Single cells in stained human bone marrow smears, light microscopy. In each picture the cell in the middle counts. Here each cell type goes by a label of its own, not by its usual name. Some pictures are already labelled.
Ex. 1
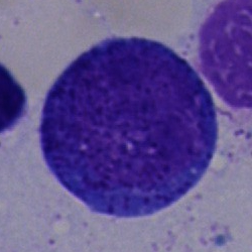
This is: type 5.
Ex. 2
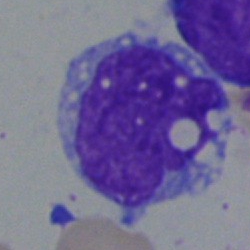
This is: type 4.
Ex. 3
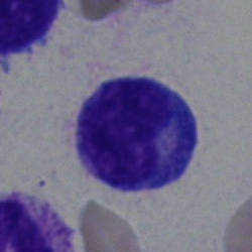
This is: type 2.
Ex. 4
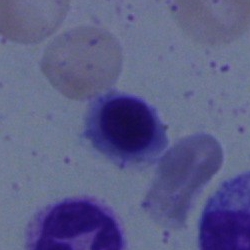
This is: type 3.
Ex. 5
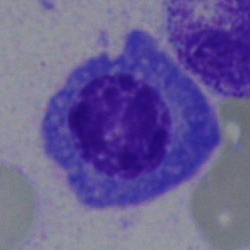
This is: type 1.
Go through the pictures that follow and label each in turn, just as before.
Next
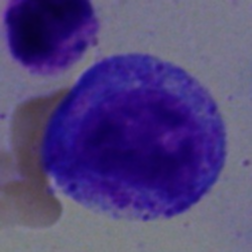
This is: type 5.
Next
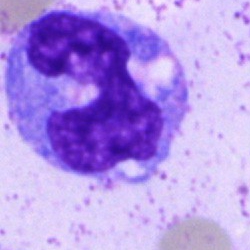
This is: type 4.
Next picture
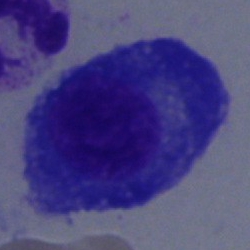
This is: type 1.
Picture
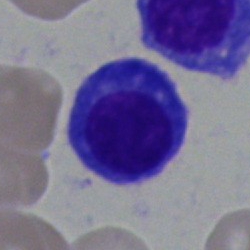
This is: type 1.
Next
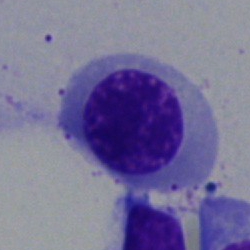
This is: type 3.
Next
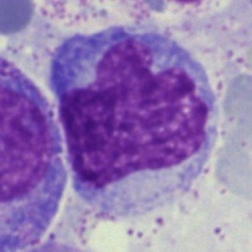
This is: type 4.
